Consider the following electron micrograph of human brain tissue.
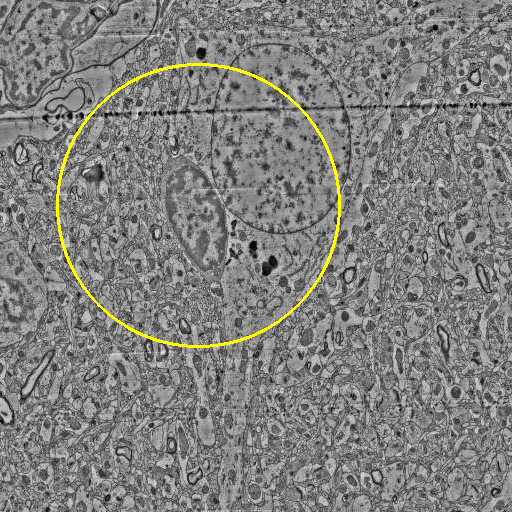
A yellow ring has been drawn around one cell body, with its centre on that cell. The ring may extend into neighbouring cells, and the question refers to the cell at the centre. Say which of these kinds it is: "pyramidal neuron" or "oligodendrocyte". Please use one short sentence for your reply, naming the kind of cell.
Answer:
The centre of the ring falls on an oligodendrocyte.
